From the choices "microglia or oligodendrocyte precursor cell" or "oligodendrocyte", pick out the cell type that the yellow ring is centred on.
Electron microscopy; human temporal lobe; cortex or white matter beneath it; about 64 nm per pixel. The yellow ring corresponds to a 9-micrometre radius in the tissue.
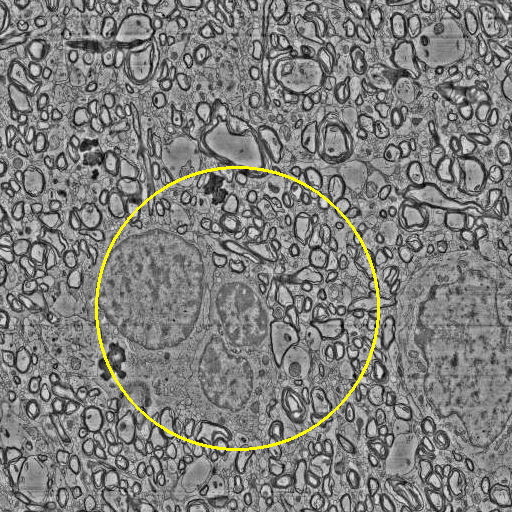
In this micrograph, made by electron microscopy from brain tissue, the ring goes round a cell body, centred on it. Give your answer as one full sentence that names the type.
The yellow ring is centred on an oligodendrocyte, whose cell body it encircles in the picture.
